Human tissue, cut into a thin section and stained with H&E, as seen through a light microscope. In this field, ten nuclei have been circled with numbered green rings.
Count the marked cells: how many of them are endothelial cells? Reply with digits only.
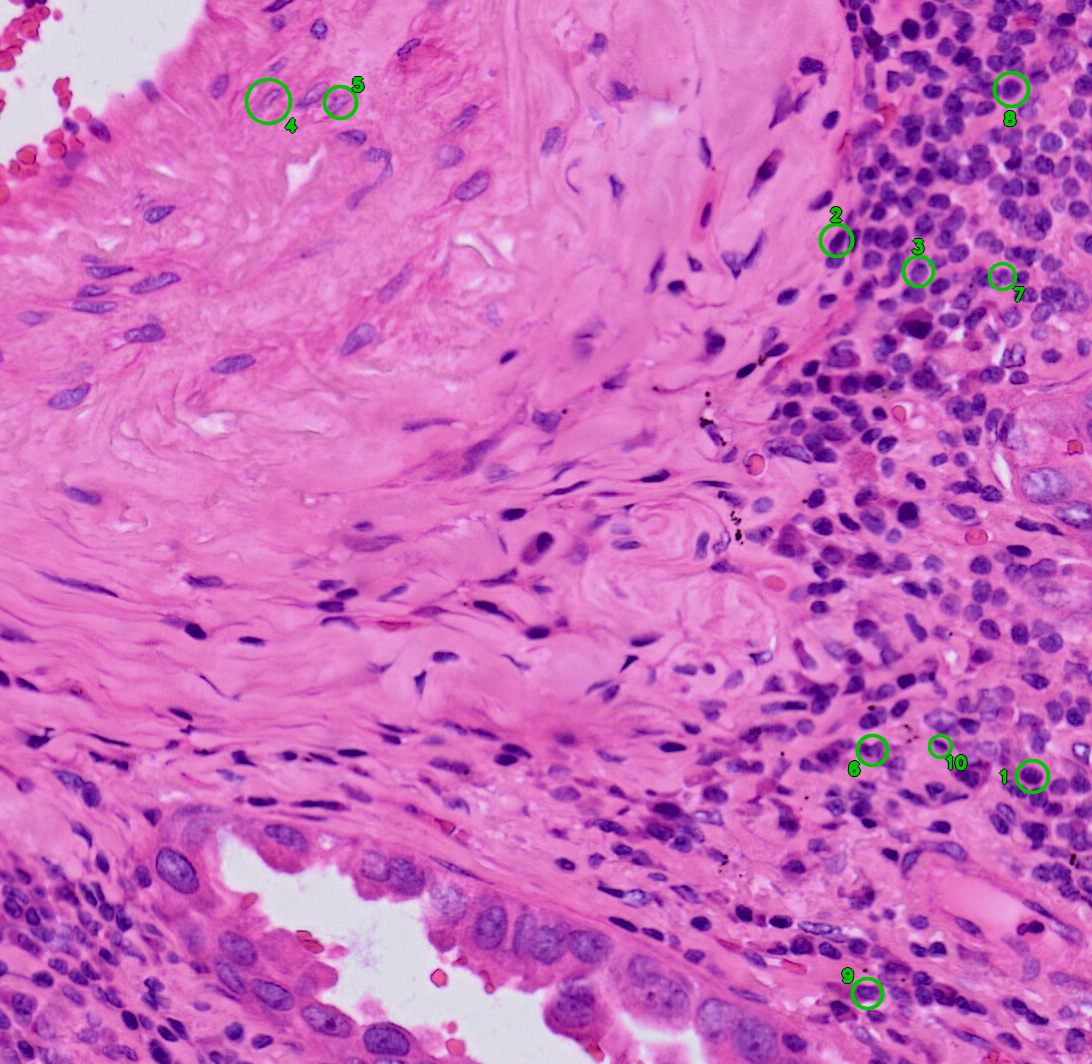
0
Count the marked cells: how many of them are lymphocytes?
6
